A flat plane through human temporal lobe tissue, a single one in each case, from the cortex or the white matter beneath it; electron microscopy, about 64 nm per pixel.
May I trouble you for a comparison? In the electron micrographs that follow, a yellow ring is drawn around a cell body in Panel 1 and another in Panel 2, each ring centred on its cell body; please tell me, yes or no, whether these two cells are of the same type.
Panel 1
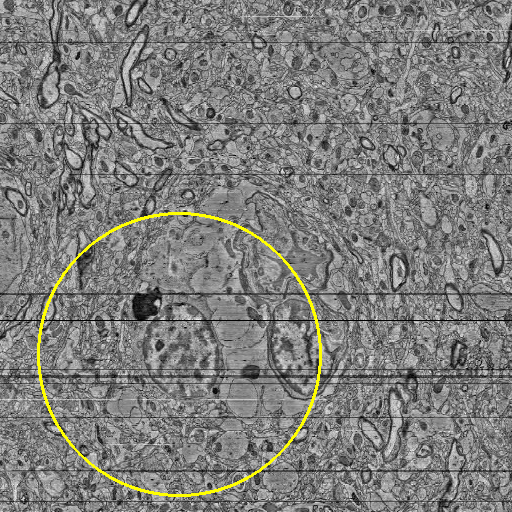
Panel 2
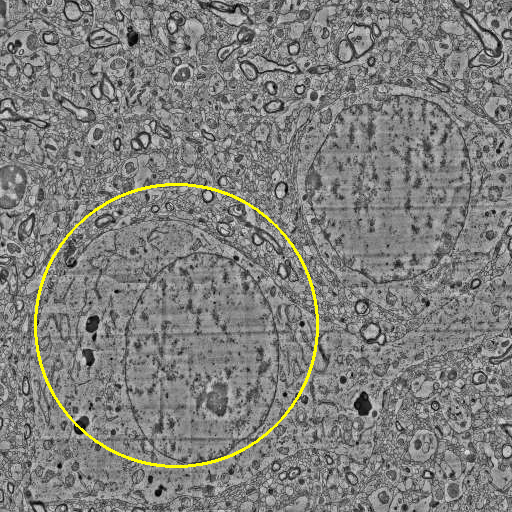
no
